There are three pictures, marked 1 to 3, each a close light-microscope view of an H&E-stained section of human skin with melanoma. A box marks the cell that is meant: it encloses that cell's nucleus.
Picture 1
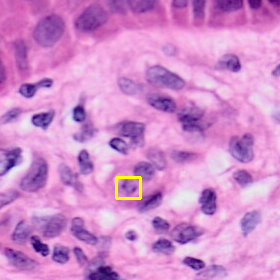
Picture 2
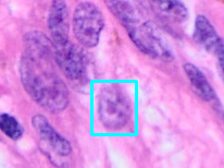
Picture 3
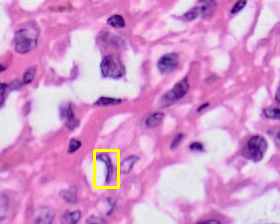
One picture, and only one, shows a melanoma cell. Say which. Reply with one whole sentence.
Picture 2 shows the melanoma cell.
